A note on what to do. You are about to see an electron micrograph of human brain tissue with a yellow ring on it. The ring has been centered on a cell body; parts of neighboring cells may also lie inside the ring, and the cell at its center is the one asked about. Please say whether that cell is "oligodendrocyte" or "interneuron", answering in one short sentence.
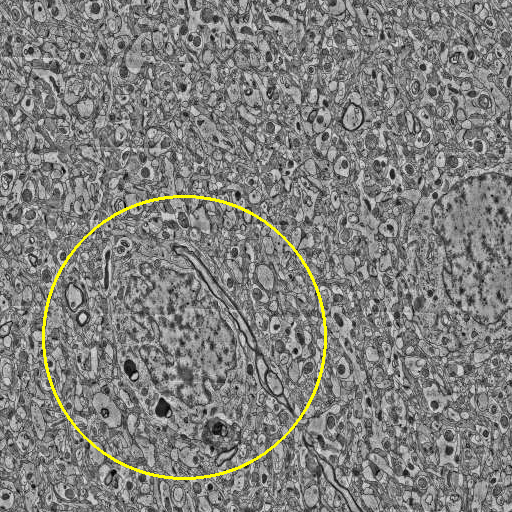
The yellow ring sits on an interneuron.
